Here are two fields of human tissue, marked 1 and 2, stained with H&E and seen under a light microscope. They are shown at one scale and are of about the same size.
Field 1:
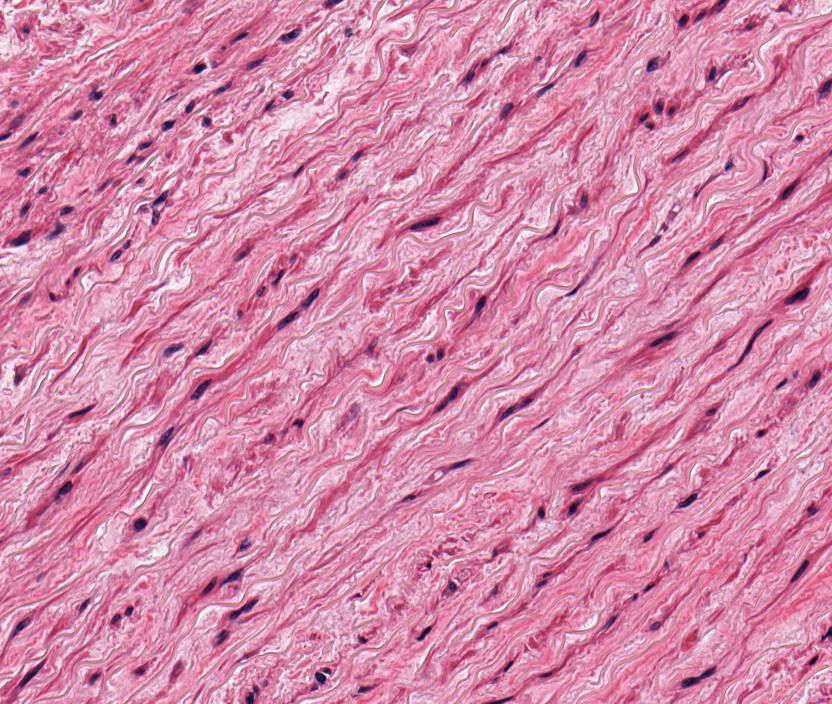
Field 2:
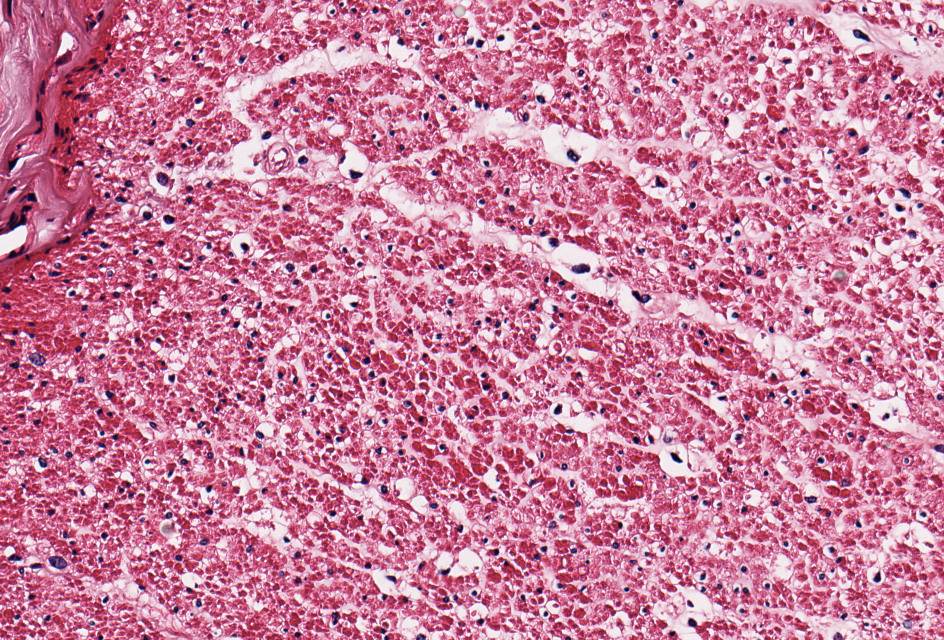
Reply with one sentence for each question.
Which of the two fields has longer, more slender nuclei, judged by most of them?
The nuclei are more elongated in field 1.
